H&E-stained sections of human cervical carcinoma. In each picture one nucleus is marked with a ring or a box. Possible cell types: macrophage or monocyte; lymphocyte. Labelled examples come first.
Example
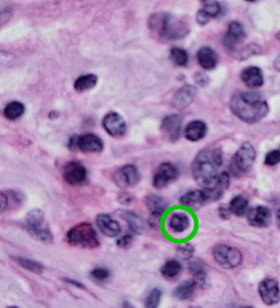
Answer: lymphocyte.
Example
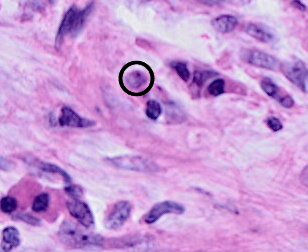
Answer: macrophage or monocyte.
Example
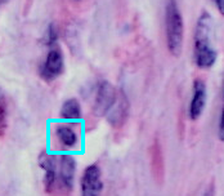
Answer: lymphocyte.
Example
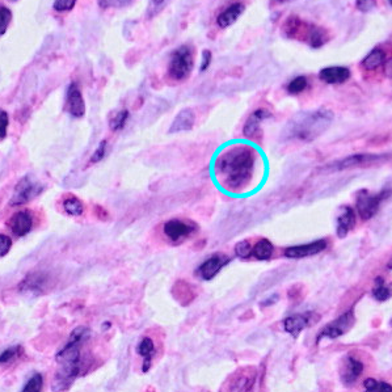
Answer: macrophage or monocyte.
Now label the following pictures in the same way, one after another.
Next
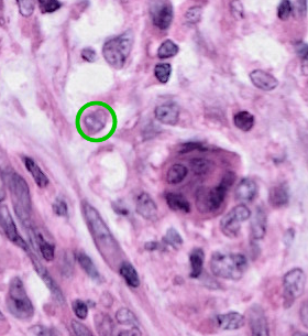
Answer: macrophage or monocyte.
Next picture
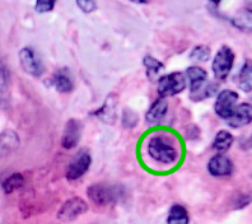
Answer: lymphocyte.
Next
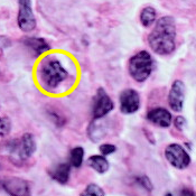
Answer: lymphocyte.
